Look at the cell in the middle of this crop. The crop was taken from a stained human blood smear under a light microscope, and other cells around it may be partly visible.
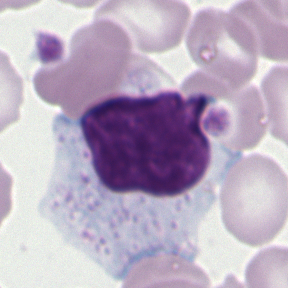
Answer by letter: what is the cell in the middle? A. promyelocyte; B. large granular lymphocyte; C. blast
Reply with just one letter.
B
